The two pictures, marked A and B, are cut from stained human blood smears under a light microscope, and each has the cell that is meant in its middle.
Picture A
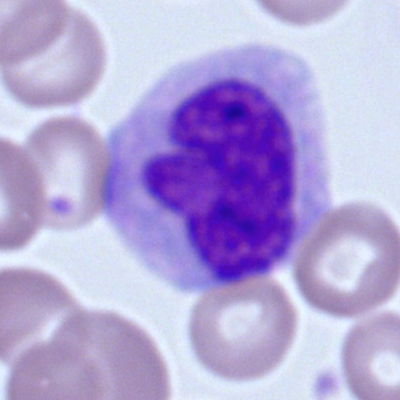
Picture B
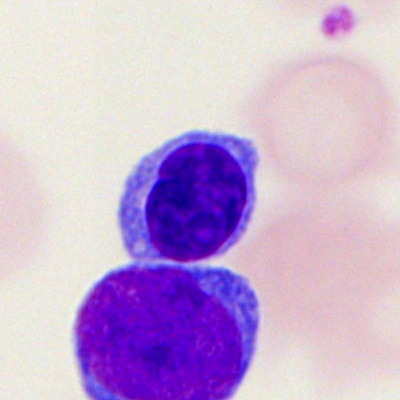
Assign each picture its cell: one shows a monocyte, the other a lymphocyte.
A: monocyte
B: lymphocyte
